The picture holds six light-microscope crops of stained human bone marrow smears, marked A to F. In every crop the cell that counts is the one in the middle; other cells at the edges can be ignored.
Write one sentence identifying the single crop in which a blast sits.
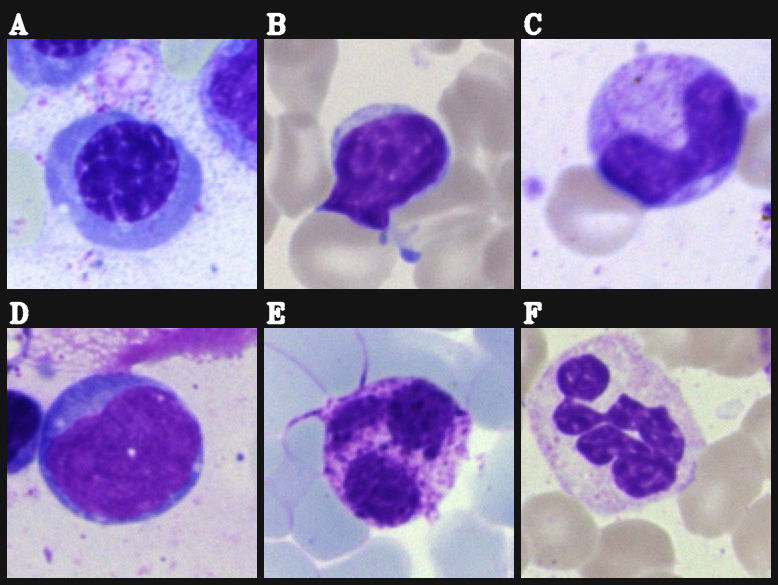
Of the crops given, a blast is found in crop D.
